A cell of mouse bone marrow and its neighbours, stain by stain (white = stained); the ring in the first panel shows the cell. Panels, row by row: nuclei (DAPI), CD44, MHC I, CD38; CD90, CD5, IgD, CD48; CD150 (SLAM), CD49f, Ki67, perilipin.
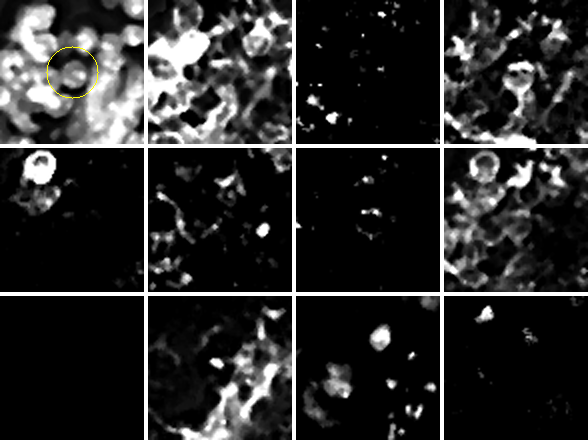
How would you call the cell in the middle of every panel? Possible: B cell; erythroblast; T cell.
I would call it a B cell.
